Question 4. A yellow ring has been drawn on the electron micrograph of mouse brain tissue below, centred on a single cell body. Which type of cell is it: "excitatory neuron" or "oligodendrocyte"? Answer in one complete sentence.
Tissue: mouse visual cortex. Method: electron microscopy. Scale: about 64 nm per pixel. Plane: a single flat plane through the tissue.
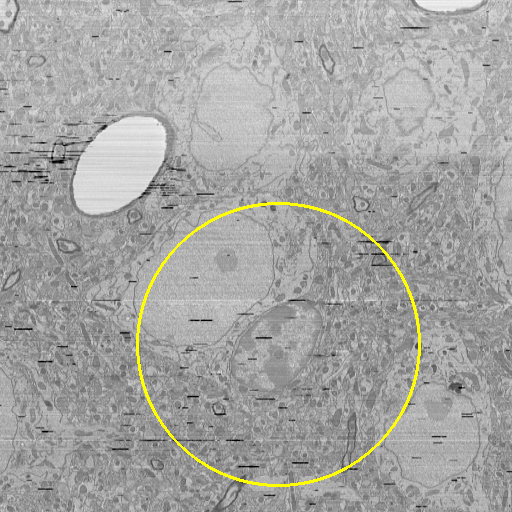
This cell body belongs to an oligodendrocyte.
